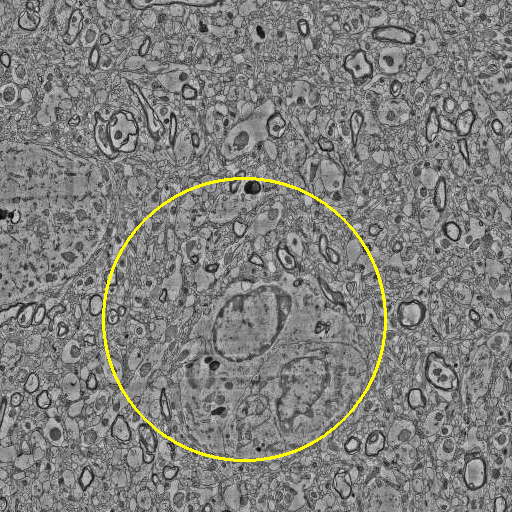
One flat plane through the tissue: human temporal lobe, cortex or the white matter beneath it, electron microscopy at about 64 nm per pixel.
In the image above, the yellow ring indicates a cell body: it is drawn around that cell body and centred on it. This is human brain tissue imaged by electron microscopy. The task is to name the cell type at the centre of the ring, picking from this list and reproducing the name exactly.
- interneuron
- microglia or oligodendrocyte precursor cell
microglia or oligodendrocyte precursor cell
